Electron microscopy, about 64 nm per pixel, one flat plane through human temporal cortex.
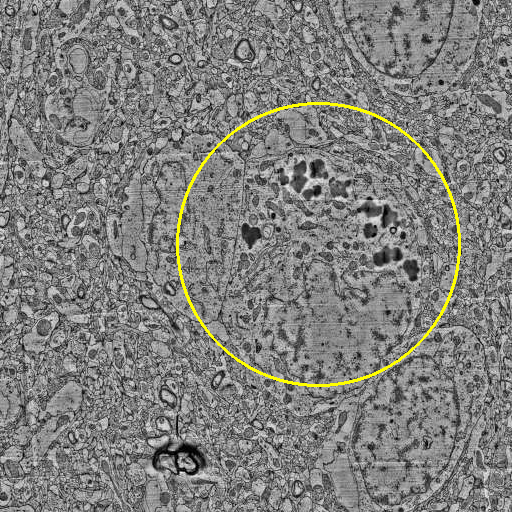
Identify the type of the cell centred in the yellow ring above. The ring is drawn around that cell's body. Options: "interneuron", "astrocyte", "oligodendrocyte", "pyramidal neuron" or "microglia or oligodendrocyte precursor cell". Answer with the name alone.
interneuron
